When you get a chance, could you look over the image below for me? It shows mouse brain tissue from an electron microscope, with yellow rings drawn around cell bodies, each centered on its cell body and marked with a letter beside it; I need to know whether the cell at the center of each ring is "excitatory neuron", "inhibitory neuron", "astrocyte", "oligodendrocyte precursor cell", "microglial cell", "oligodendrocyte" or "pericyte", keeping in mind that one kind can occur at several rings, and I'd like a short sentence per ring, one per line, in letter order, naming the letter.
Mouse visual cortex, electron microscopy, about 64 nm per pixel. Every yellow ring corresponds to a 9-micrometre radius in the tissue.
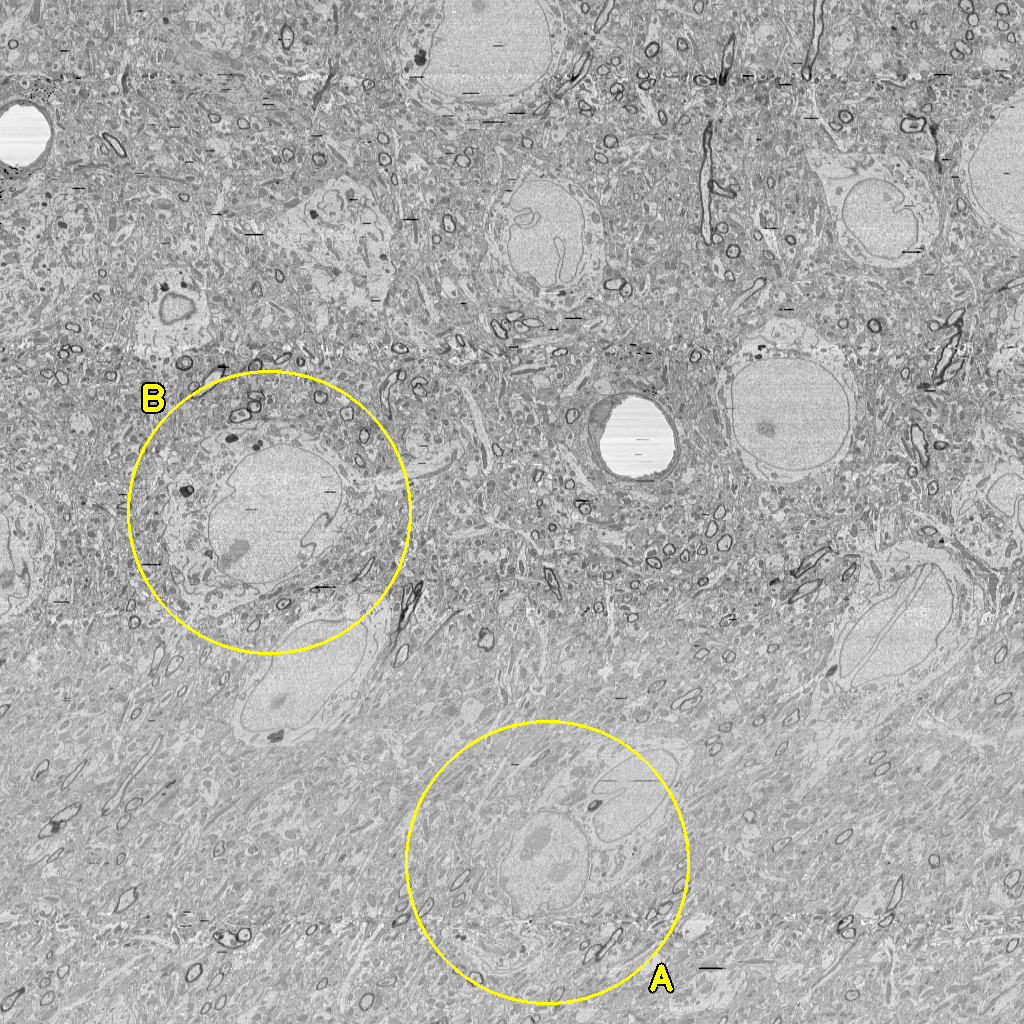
Ring A is centered on an oligodendrocyte precursor cell.
Ring B is centered on an excitatory neuron.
